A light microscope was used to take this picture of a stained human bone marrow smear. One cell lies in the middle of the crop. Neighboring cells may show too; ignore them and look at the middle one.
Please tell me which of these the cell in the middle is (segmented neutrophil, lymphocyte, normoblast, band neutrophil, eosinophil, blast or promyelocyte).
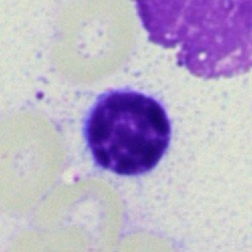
lymphocyte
